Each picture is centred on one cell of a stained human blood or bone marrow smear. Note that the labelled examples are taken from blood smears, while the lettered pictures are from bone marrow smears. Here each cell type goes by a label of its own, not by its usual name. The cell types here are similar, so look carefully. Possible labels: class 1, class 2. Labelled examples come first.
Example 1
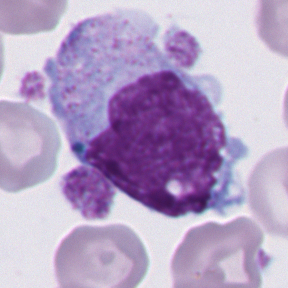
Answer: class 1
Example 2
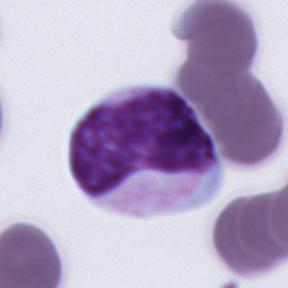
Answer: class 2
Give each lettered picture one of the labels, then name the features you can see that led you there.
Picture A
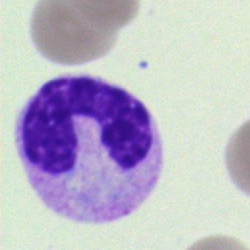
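class 2. Evidence: The cytoplasm is plentiful and pale pinkish-lilac.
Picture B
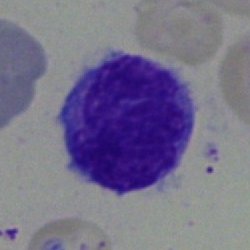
class 1. Evidence: Only a very thin rim of cytoplasm is visible.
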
